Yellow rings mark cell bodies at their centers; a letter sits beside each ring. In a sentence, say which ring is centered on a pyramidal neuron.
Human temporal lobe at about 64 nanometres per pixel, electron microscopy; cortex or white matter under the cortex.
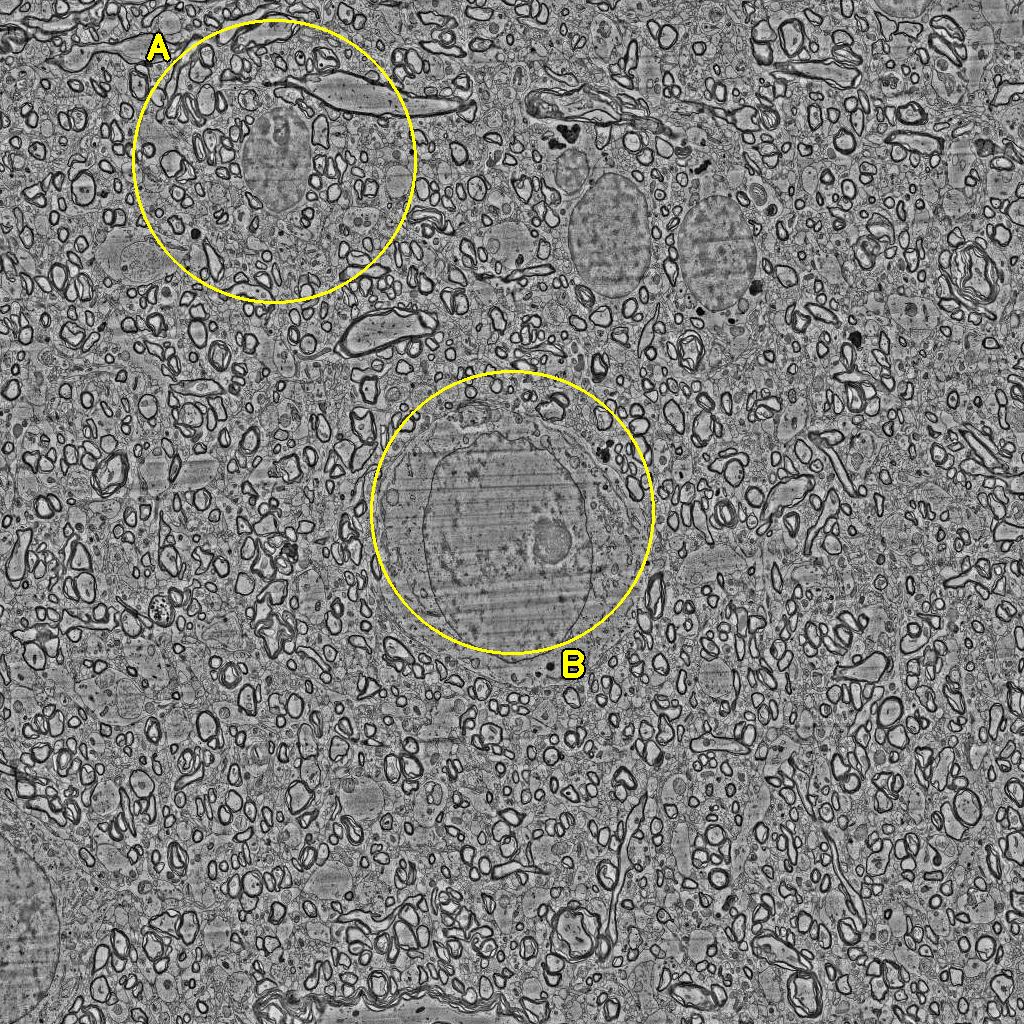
It is ring B.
